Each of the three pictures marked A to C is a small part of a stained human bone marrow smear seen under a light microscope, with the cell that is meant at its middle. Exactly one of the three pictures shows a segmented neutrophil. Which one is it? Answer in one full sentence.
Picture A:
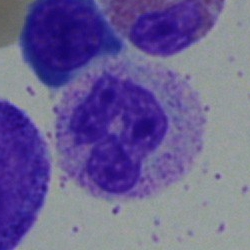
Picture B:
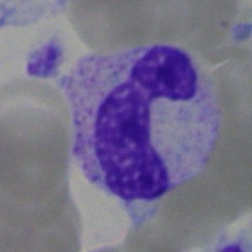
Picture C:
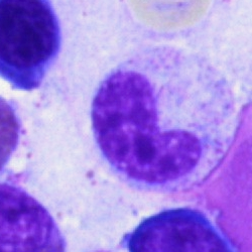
Picture A shows the segmented neutrophil.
